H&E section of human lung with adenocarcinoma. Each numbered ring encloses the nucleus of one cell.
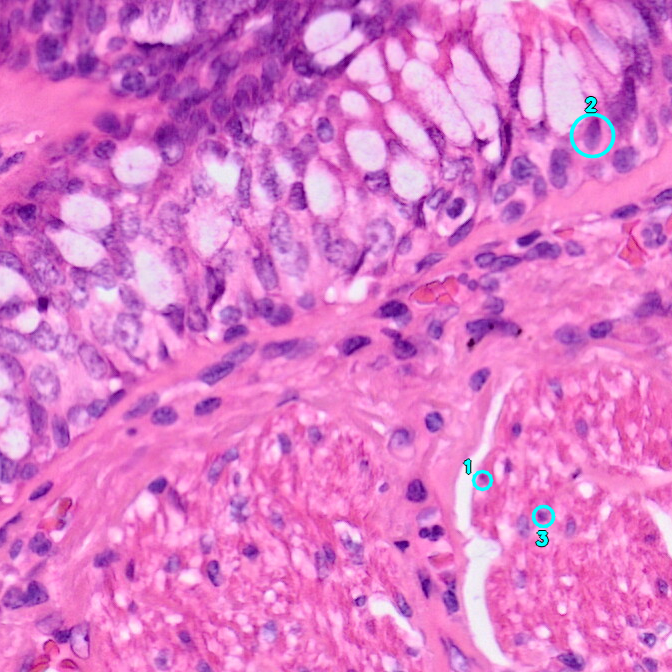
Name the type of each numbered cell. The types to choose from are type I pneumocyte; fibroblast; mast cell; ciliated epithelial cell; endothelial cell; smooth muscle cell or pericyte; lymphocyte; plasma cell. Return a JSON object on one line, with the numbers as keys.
{"1": "smooth muscle cell or pericyte", "2": "ciliated epithelial cell", "3": "smooth muscle cell or pericyte"}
